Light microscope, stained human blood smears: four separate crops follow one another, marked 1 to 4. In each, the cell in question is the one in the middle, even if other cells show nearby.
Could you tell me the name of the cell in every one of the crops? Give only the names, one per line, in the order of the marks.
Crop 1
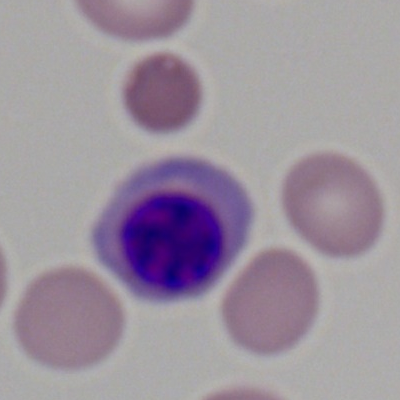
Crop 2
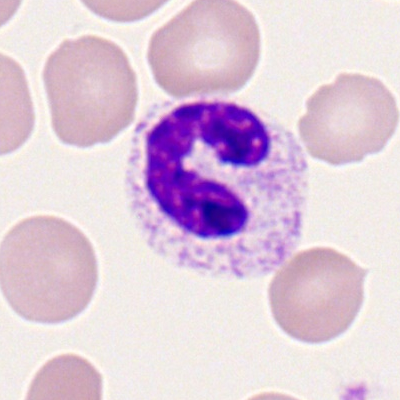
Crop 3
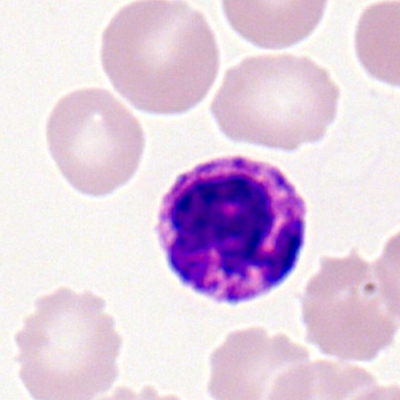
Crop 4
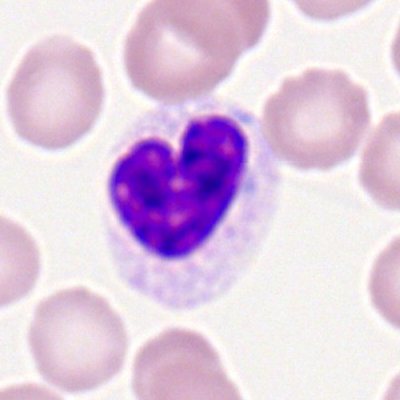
erythroblast
band neutrophil
basophil
band neutrophil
